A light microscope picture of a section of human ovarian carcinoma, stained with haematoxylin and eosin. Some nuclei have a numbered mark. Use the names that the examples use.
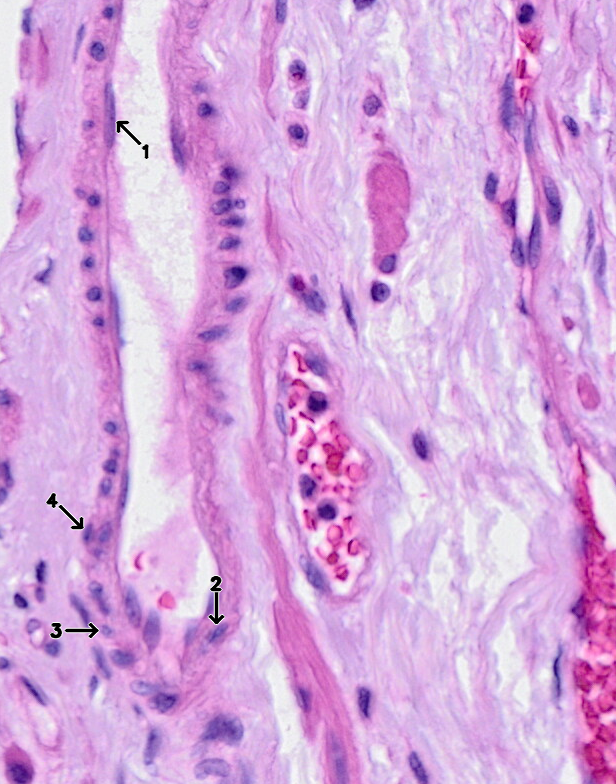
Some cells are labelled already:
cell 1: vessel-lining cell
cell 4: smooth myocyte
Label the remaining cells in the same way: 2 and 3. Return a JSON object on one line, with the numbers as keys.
{"2": "smooth myocyte", "3": "smooth myocyte"}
